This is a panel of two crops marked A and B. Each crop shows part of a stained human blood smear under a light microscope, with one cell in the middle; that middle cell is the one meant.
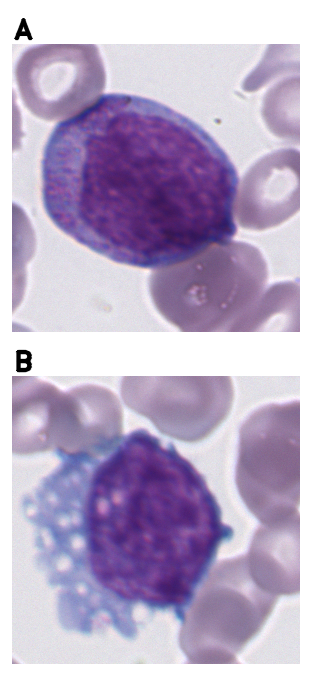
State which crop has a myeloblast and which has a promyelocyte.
A: promyelocyte
B: myeloblast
